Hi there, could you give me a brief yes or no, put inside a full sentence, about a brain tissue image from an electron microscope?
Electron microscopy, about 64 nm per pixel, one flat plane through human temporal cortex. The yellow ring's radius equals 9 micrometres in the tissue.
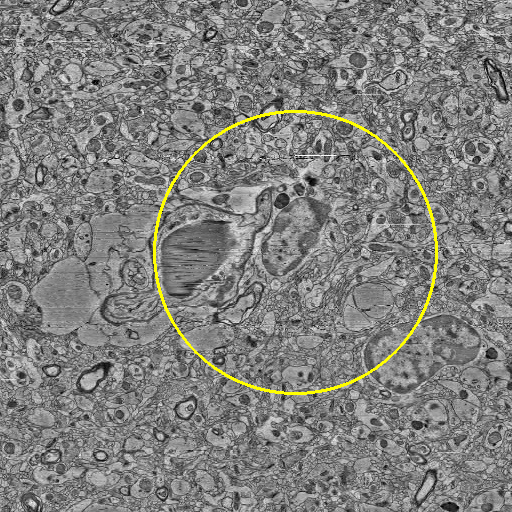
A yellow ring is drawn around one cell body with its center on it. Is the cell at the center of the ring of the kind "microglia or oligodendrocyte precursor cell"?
Yes, the cell found at the center of the yellow ring is of that kind.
